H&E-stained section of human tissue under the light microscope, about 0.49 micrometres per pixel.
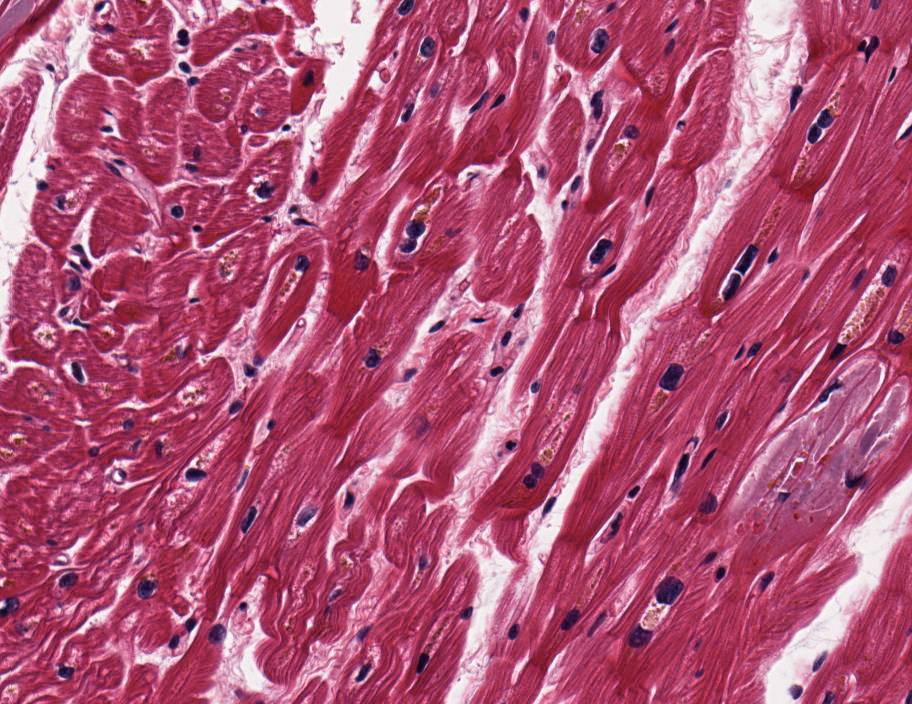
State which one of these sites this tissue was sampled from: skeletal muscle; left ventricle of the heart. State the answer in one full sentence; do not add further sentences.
A piece of the left ventricle of the heart was sampled for this section.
